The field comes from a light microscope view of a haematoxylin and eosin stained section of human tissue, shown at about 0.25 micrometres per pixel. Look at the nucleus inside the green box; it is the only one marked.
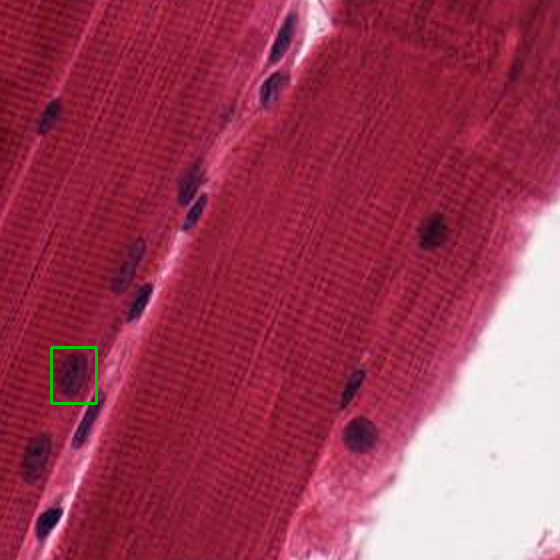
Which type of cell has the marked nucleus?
skeletal muscle fibre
